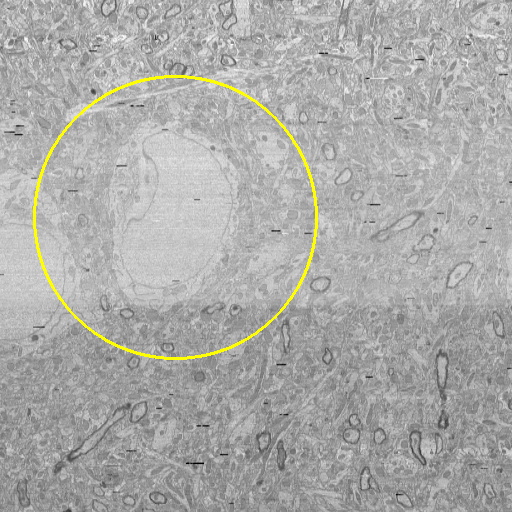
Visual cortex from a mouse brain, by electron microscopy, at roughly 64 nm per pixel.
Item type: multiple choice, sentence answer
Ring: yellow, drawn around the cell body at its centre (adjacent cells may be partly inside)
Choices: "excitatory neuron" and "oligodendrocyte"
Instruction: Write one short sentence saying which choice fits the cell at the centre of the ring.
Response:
This ring is drawn around an excitatory neuron.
